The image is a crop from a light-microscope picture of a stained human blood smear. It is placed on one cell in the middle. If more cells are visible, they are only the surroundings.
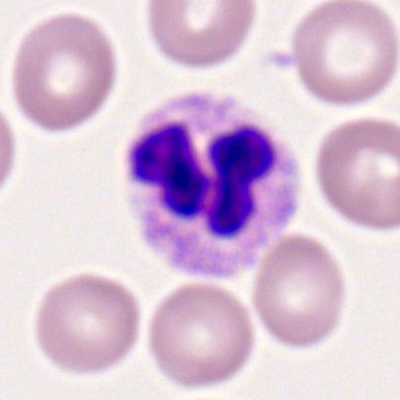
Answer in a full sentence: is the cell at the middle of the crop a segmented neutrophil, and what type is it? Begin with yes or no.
Yes, the centred cell is categorised as a segmented neutrophil.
